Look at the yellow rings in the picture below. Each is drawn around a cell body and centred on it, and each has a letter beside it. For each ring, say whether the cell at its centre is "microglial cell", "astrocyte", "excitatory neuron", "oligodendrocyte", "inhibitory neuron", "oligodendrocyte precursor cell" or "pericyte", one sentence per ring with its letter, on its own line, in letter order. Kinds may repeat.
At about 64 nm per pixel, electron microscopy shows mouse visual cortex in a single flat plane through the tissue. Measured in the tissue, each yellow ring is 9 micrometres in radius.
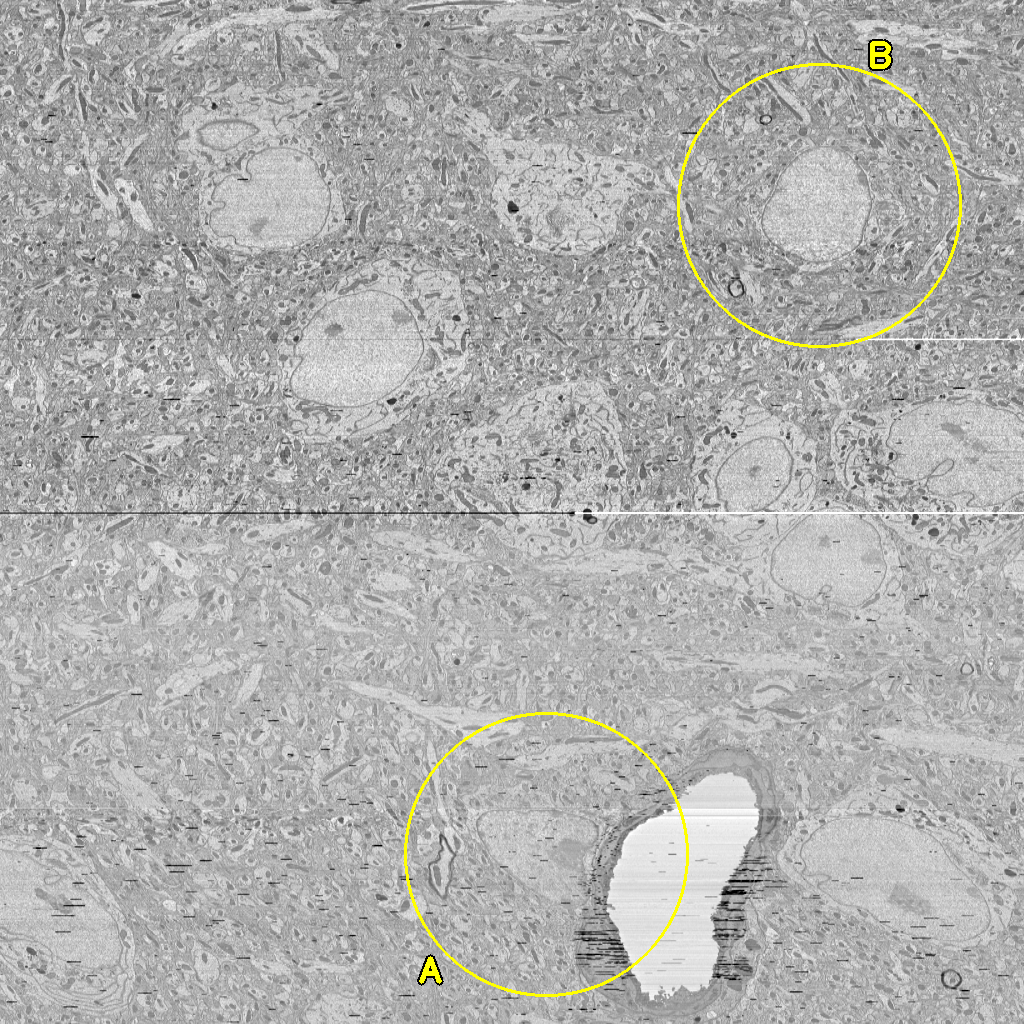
The centred cell of ring A is an astrocyte.
The centred cell of ring B is an astrocyte.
